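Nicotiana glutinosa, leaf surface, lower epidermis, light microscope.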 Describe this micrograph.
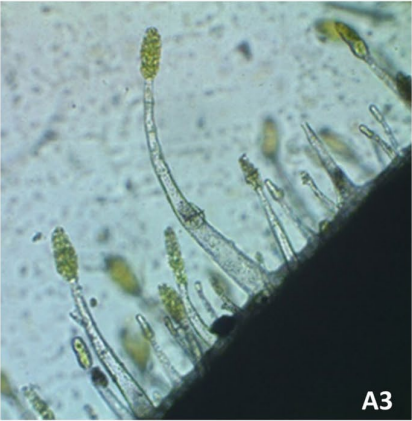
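The hairs are slender, uniseriate rows of elongated, mostly colourless cells. Several of them end in an enlarged, oval, club-like head whose cells are packed with greenish granular contents. Other hairs are shorter and taper to a point without a visible head. The hairs stand at varying angles and lengths along the leaf margin.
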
